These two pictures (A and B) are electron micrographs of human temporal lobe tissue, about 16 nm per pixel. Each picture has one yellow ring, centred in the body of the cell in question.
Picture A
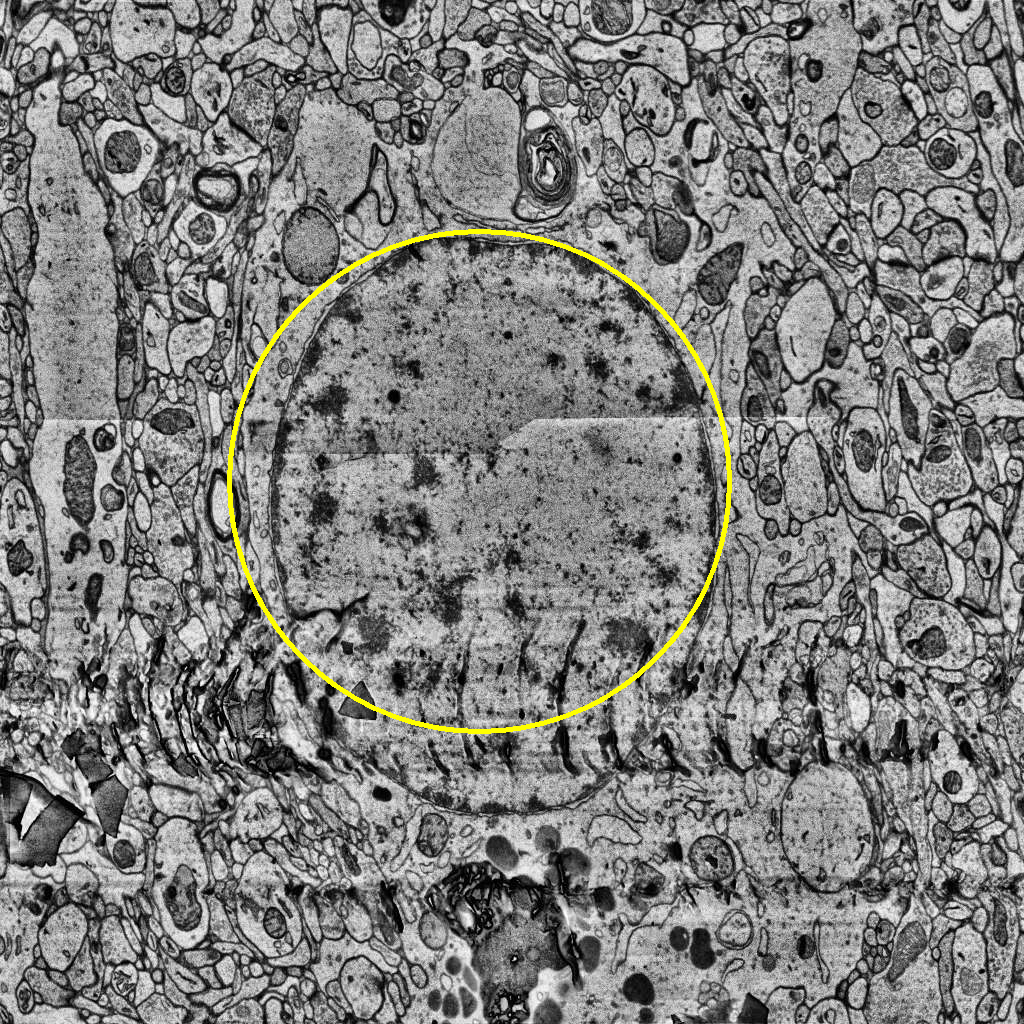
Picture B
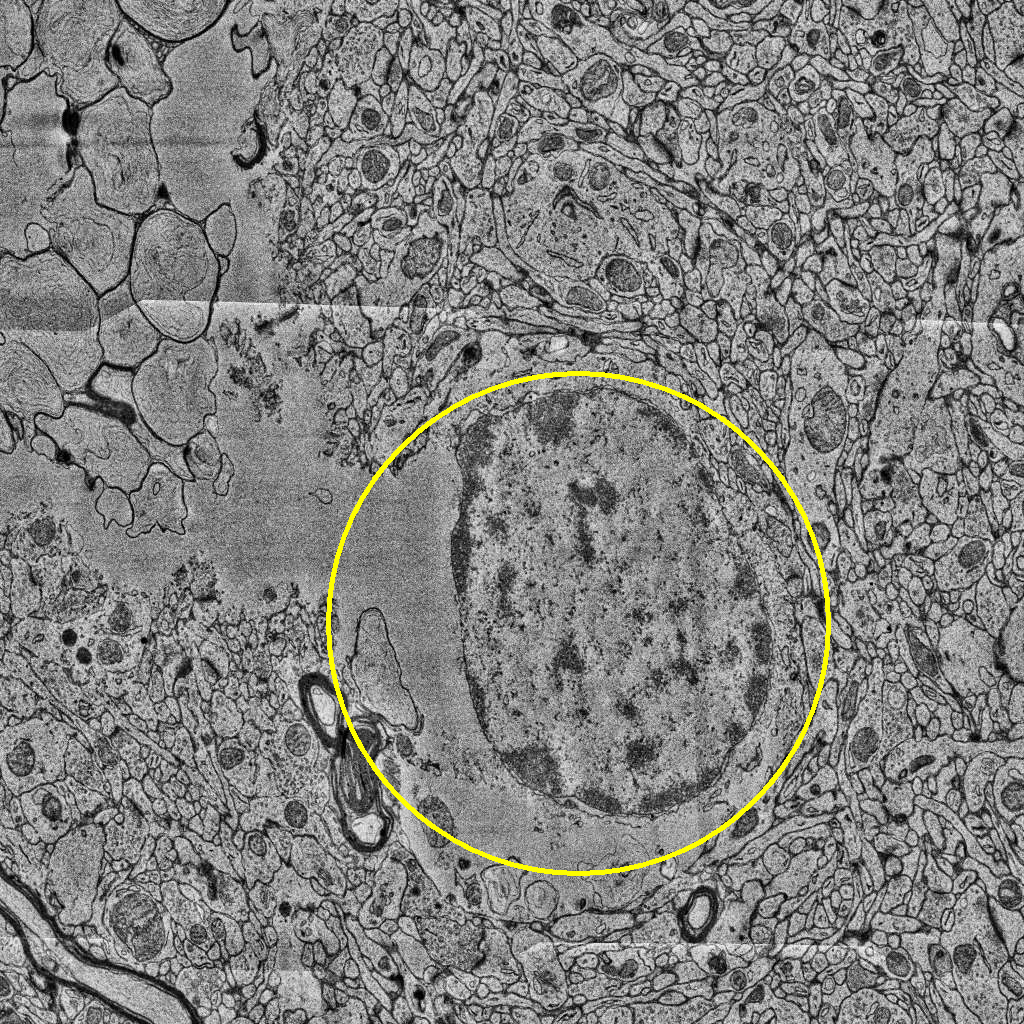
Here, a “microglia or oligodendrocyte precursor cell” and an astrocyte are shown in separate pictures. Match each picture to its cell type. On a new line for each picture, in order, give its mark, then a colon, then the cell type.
A: astrocyte
B: microglia or oligodendrocyte precursor cell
